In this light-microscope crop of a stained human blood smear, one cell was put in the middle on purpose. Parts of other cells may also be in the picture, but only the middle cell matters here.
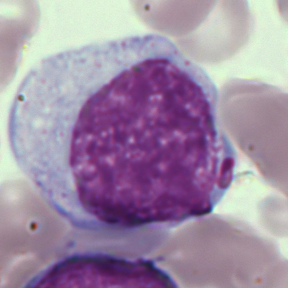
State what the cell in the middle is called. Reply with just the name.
promyelocyte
